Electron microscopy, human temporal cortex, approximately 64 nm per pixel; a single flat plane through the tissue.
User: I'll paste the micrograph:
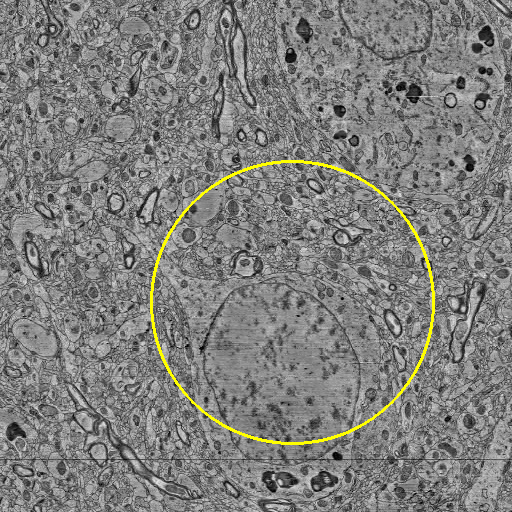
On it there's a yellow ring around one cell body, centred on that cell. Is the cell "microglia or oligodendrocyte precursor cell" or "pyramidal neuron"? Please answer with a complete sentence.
The cell ringed in yellow is a pyramidal neuron.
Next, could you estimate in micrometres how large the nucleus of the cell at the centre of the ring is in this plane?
Approximately 13 micrometres long and 10 micrometres wide, in this plane.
